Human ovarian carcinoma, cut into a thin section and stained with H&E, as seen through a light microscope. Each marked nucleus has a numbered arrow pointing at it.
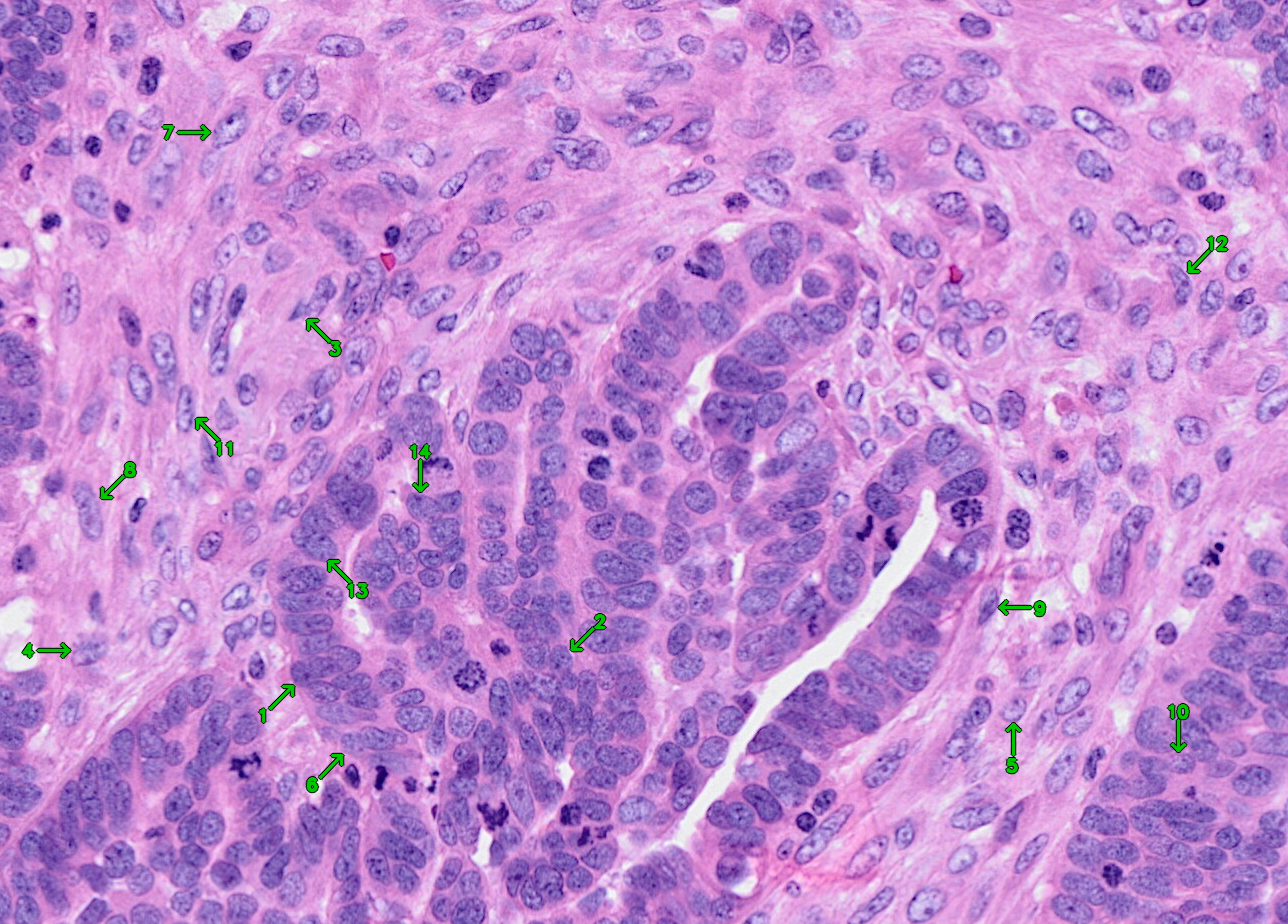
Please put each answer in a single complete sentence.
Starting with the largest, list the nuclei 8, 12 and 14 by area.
The nuclei rank 8, 14, 12, from largest to smallest.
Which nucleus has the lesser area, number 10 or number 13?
Number 10 is smaller, since number 13 takes up about 3 times as much area.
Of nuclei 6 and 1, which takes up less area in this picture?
With nucleus 1 about 1.5 times its size, nucleus 6 is the smaller of the two.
